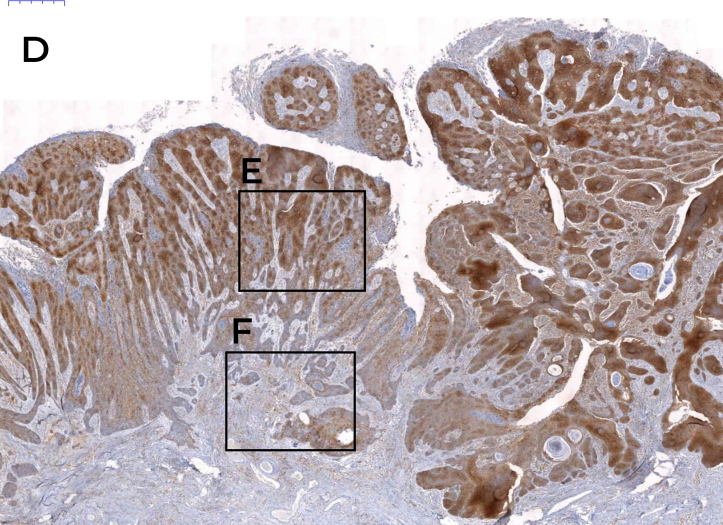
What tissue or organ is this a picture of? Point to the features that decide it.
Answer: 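Squamous cell carcinoma. Large nests and cords of epithelial tumor cells separated by pale stroma. Rounded concentric keratin pearls within the tumor nests.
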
